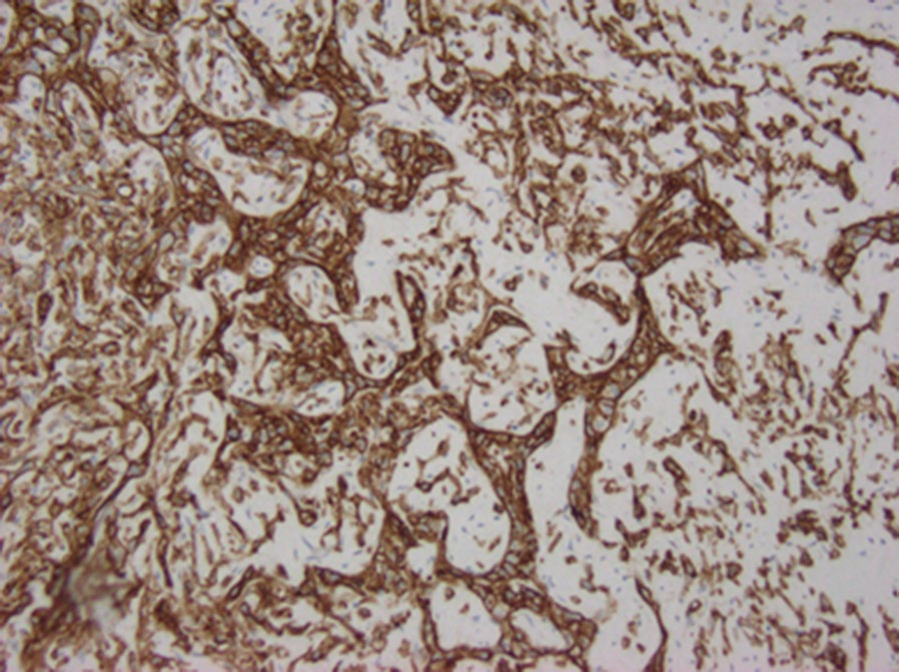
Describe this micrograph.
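This is a tumor whose cells stain brown along their membranes and thin cytoplasm, and they are arranged in an anastomosing cord-like architecture. Broad and narrow brown bands branch and rejoin, enclosing rounded and irregular pale areas of loose tissue. Within these pale areas and toward the right side, many small, slender brown-outlined elongated profiles and tiny channels are scattered, while the unstained nuclei of the pale tissue appear as small blue dots. The network of interconnecting cords recalls the formation of primitive blood vessels.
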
